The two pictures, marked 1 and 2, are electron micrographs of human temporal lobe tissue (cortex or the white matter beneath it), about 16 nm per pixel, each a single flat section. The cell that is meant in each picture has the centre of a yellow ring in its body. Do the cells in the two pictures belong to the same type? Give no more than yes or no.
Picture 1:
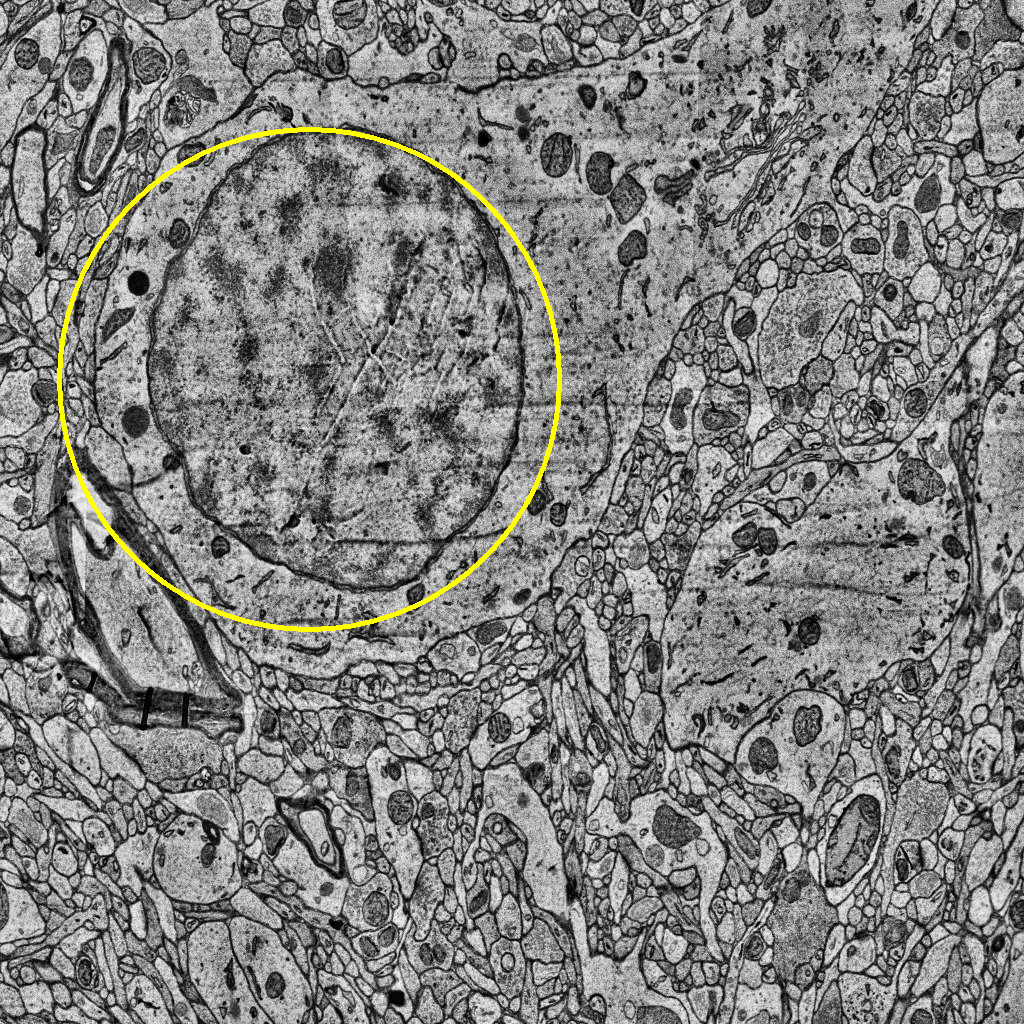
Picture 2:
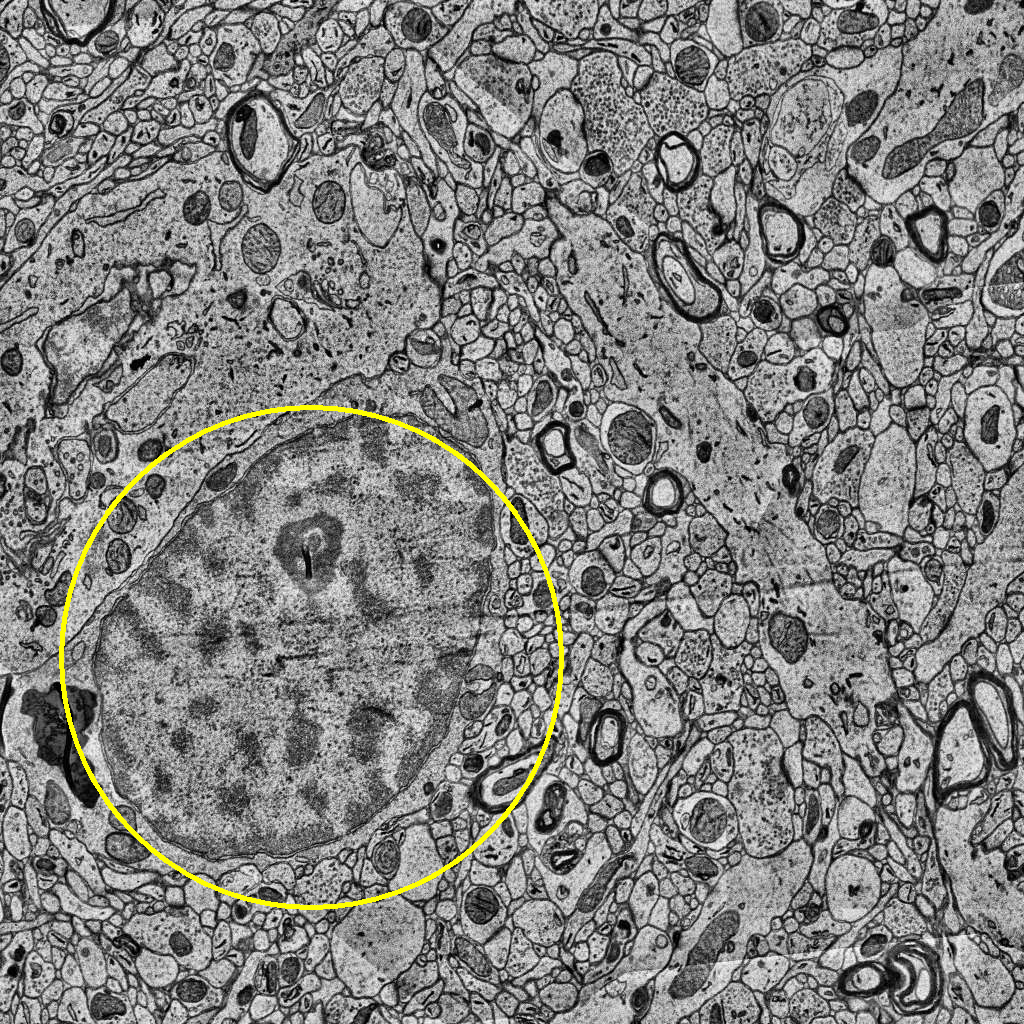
no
